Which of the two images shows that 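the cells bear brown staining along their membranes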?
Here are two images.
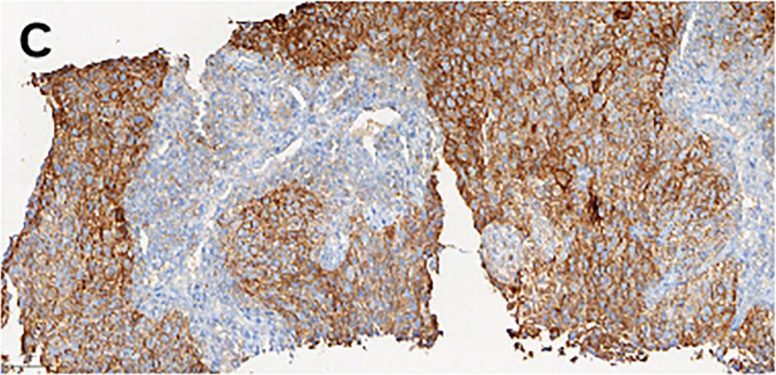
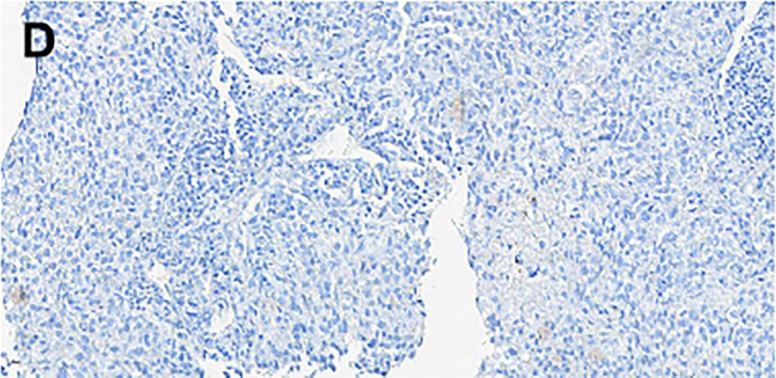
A: the first image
